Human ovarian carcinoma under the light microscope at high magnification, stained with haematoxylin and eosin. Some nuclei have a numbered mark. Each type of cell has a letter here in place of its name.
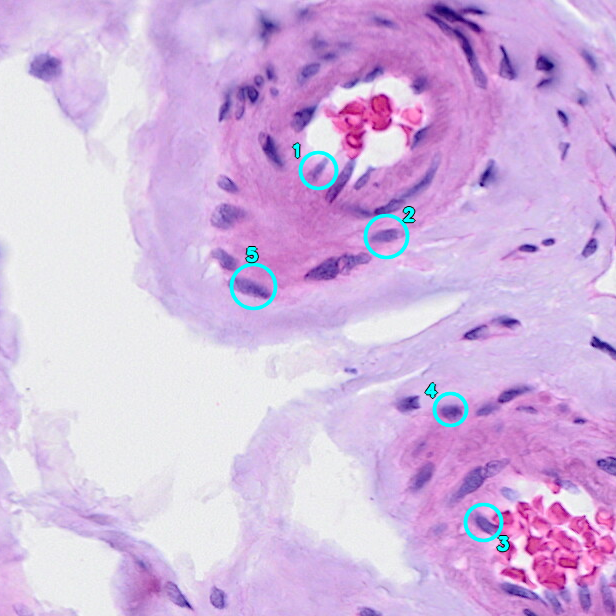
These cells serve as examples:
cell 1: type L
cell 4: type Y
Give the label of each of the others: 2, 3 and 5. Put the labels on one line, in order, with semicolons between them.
type Y; type L; type Y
